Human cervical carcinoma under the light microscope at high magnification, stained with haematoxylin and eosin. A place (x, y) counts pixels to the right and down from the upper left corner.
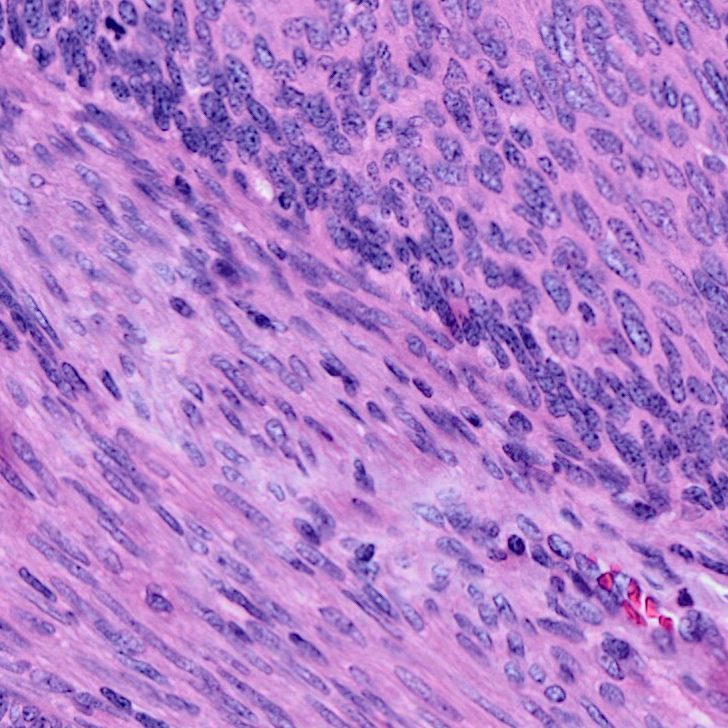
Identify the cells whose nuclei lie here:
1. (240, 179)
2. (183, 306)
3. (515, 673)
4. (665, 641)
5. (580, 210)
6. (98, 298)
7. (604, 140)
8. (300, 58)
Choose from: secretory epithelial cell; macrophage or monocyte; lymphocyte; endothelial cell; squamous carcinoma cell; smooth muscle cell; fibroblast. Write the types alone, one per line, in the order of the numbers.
squamous carcinoma cell
lymphocyte
smooth muscle cell
endothelial cell
squamous carcinoma cell
smooth muscle cell
squamous carcinoma cell
squamous carcinoma cell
